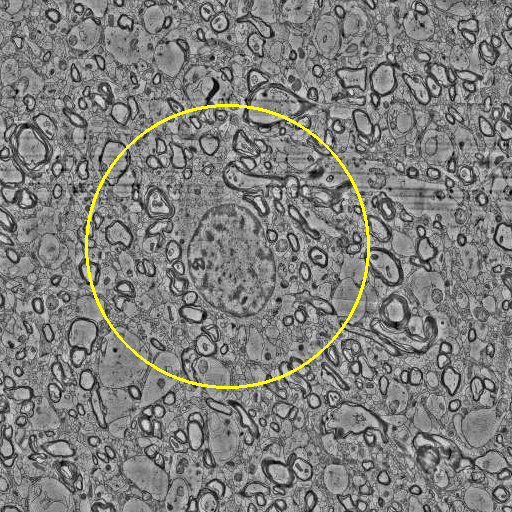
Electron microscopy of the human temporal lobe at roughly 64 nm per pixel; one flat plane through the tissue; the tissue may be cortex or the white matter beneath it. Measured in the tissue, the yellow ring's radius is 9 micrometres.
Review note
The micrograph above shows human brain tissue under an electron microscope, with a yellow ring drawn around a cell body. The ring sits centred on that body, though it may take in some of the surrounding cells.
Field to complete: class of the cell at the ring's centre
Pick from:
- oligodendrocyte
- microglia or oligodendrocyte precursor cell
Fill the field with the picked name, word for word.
oligodendrocyte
